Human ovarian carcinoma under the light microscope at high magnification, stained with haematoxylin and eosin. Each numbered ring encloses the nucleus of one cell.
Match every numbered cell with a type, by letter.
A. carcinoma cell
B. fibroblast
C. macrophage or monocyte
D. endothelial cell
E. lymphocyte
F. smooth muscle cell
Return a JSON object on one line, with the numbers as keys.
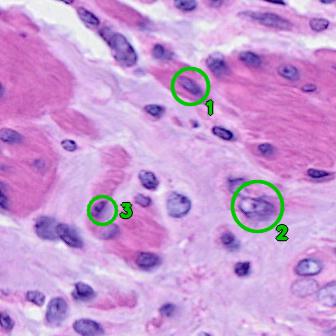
{"1": "F", "2": "D", "3": "F"}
